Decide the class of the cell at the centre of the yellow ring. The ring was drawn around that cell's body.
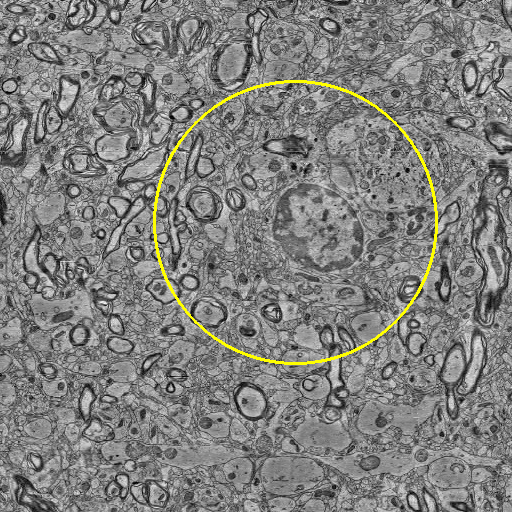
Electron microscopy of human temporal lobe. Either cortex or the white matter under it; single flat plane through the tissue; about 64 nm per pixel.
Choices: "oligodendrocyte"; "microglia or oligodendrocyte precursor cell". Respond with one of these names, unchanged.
microglia or oligodendrocyte precursor cell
